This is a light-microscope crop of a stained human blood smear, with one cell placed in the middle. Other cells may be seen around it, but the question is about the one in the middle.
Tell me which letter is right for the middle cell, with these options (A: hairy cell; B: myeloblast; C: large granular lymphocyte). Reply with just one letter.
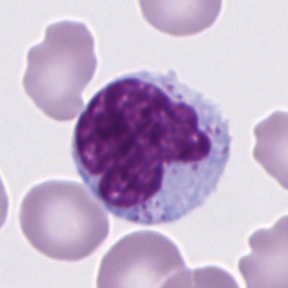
C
